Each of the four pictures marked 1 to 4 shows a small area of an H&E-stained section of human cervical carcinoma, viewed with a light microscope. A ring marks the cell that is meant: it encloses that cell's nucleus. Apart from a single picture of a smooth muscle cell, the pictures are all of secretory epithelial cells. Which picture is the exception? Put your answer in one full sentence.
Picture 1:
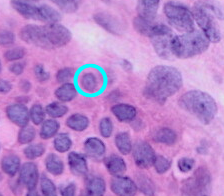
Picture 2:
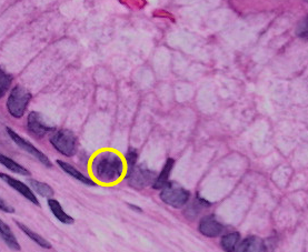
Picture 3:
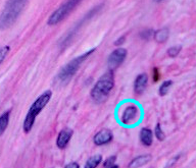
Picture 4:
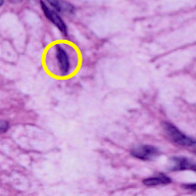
The smooth muscle cell is the one in picture 3.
